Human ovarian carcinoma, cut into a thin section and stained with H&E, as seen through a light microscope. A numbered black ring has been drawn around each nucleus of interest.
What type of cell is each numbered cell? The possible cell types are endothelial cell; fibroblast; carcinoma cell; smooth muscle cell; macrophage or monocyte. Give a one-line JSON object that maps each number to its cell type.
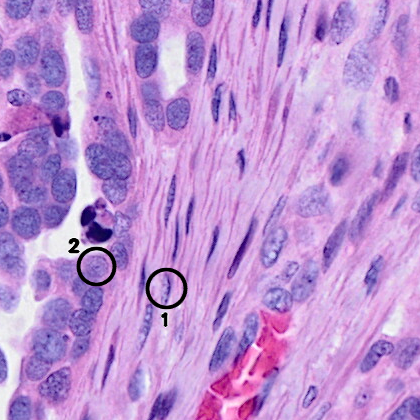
{"1": "fibroblast", "2": "carcinoma cell"}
